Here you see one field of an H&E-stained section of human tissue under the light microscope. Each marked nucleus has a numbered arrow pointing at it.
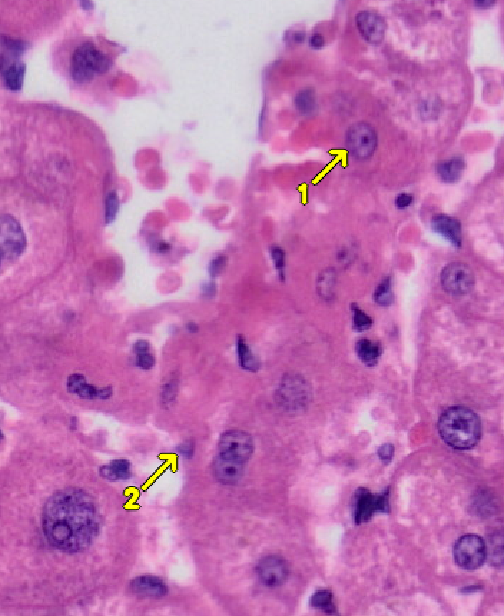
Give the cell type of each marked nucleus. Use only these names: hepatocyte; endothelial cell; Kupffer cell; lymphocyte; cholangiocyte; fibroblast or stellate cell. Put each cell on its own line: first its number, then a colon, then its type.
1: hepatocyte
2: fibroblast or stellate cell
